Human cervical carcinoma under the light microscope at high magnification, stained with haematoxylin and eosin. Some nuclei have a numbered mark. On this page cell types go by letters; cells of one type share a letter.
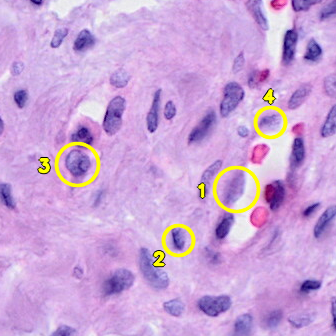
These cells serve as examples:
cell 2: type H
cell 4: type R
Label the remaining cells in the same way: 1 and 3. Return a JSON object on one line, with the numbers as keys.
{"1": "type R", "3": "type R"}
